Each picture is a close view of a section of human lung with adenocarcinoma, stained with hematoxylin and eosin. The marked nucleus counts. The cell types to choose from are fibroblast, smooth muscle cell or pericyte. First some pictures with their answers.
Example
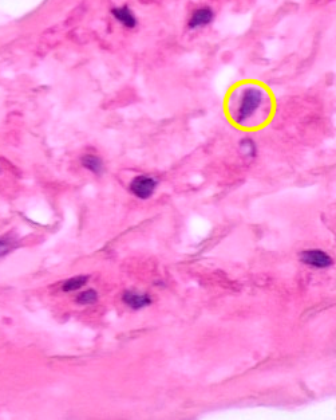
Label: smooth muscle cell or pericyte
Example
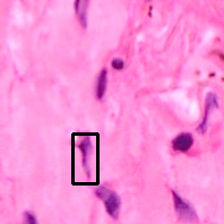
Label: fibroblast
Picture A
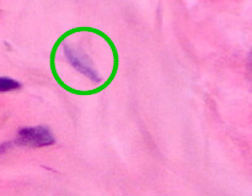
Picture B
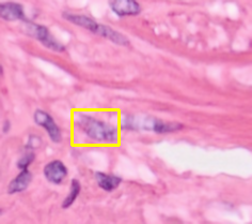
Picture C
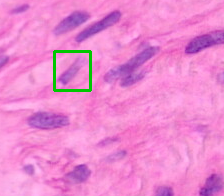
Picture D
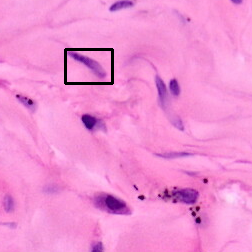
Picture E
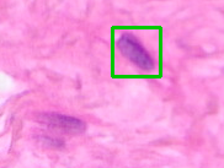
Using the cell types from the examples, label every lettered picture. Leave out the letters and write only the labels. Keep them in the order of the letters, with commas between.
fibroblast, smooth muscle cell or pericyte, smooth muscle cell or pericyte, fibroblast, smooth muscle cell or pericyte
